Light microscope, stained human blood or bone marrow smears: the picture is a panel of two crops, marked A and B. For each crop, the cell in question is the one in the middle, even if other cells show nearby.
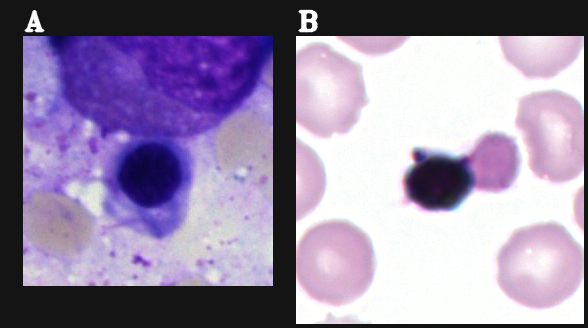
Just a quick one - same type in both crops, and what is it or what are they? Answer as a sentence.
Yes, the cells at the centres of the two crops are erythroblasts.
